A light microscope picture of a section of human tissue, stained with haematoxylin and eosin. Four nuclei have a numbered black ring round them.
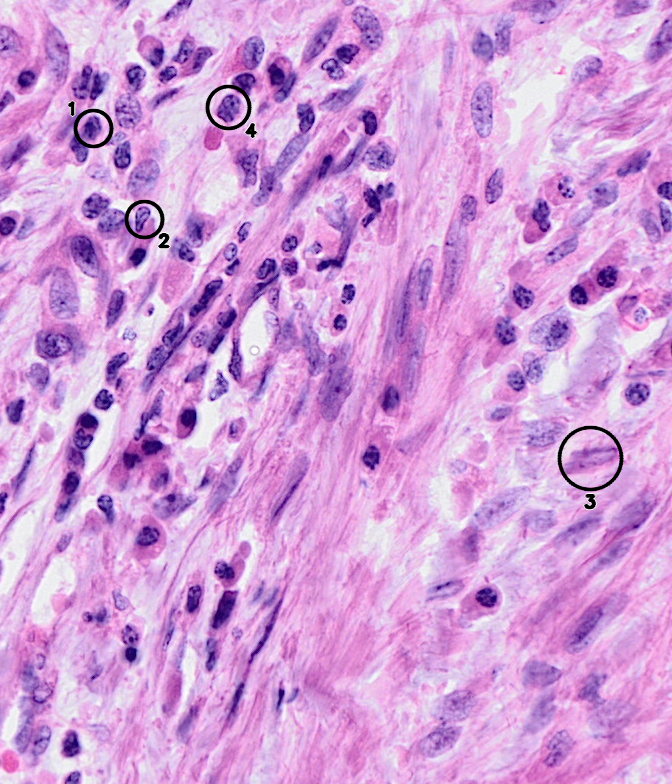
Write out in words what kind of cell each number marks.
Cell 1 is a lymphocyte, cell 2 is a lymphocyte, cell 3 is a fibroblast and cell 4 is a lymphocyte.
